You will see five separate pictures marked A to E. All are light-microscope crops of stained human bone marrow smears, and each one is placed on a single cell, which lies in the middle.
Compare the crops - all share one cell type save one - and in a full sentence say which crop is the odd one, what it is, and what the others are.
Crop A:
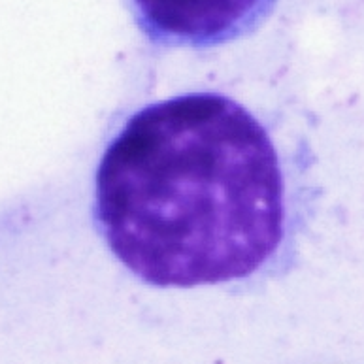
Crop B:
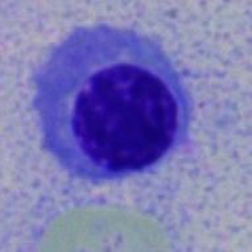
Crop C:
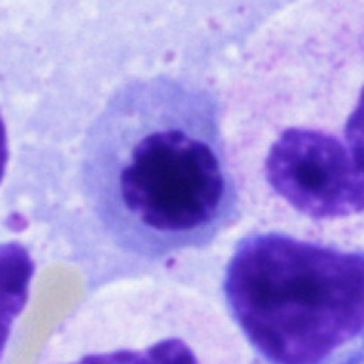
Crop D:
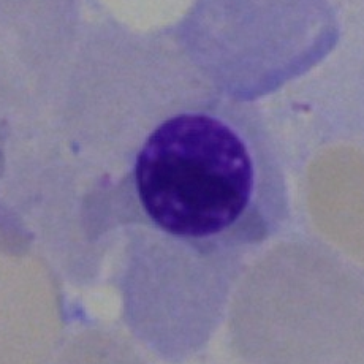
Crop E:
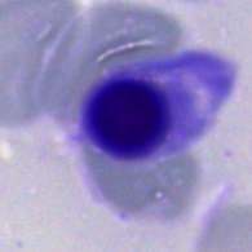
Crop A is the only one that is a lymphocyte; all the others show normoblasts.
